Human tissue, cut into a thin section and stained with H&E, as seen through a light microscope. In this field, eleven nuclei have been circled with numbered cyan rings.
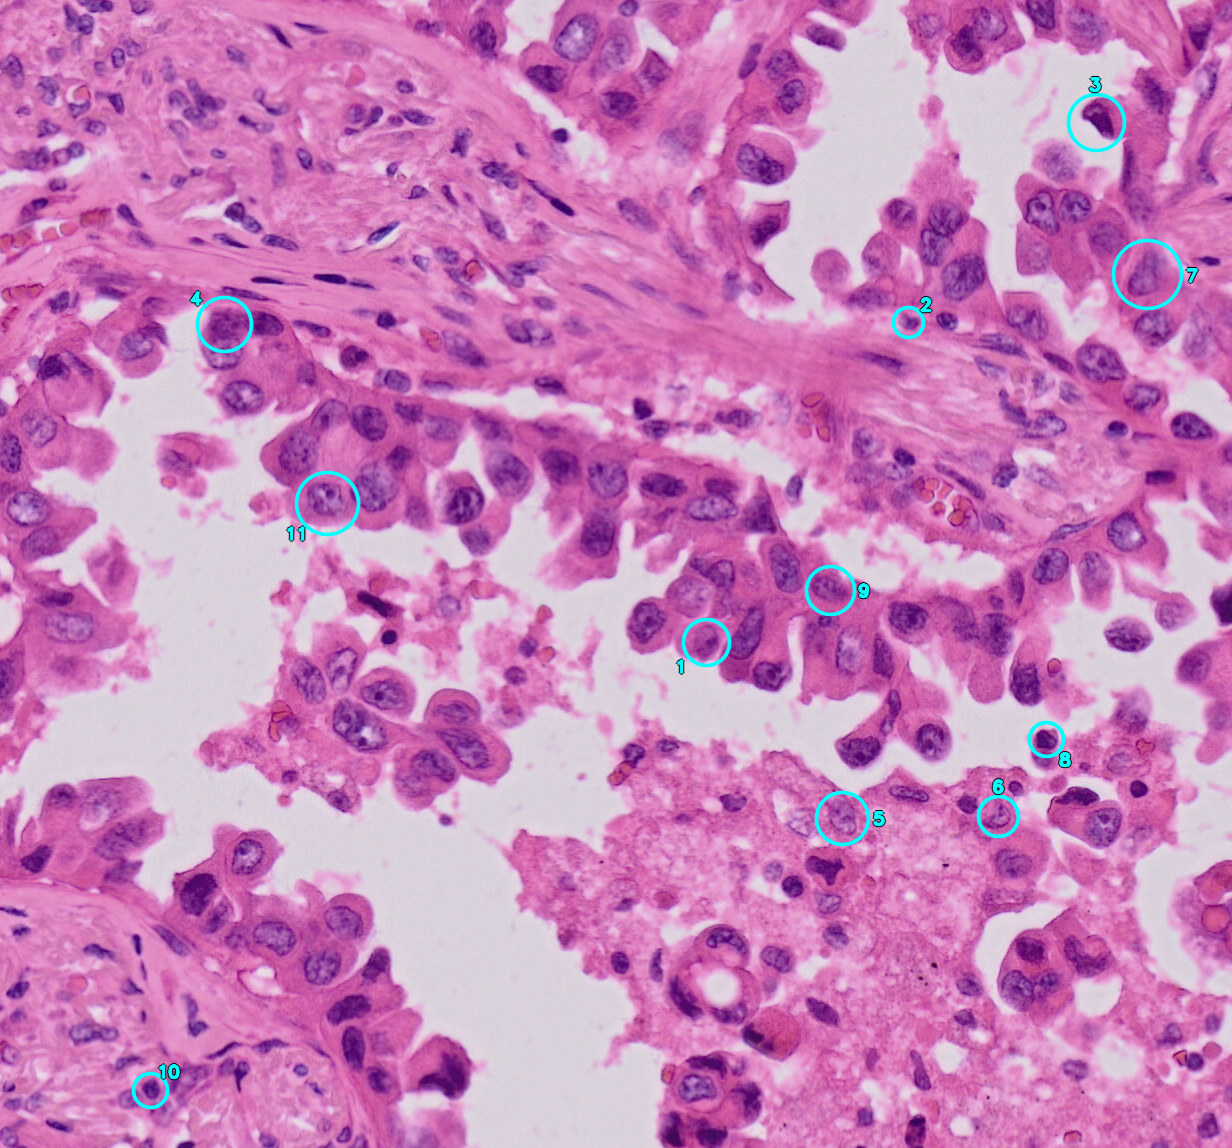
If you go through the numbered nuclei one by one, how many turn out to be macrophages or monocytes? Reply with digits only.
2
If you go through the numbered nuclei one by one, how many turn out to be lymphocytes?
3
